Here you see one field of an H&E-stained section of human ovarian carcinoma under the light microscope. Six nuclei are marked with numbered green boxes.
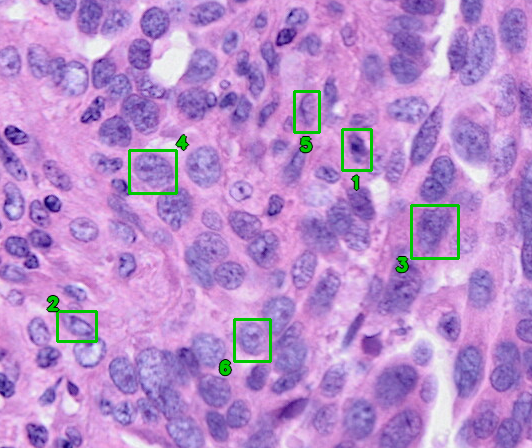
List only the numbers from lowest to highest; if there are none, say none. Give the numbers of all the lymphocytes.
1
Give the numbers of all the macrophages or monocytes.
none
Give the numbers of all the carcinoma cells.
3, 4, 6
